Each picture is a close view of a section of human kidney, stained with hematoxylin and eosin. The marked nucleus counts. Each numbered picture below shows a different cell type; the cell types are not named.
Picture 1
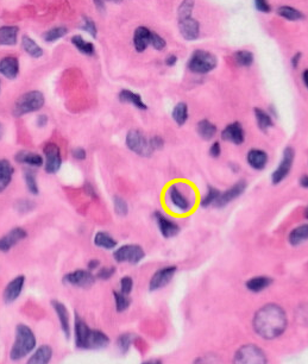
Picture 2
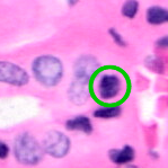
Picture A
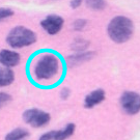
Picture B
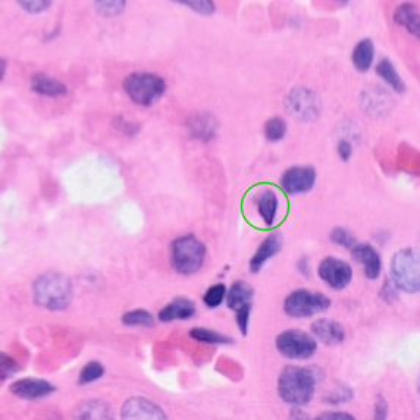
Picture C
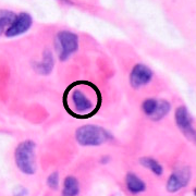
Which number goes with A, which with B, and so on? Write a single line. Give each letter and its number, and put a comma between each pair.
A 2, B 1, C 1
